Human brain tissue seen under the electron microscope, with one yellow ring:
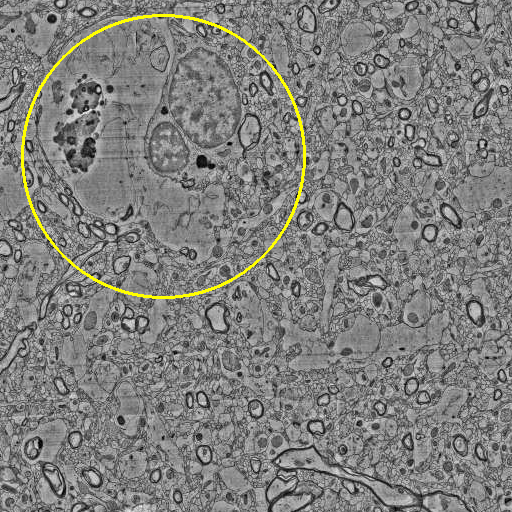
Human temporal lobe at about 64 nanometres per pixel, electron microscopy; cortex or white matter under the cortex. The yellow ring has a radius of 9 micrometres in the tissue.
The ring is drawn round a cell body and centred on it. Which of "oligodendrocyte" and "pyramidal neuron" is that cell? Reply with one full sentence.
The picture shows an oligodendrocyte at the very centre of the yellow ring.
